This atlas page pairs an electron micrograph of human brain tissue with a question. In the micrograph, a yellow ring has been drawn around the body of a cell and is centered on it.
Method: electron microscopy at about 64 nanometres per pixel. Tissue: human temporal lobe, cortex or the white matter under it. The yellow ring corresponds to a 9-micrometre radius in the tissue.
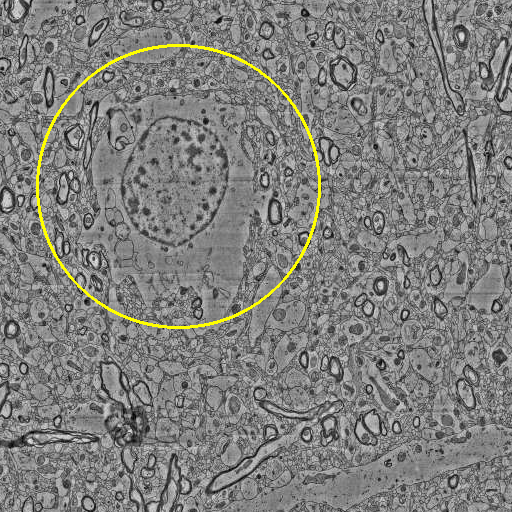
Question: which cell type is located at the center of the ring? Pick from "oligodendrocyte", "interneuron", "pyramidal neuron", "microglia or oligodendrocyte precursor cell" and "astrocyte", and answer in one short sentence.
Located at the center of the ring is an astrocyte.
